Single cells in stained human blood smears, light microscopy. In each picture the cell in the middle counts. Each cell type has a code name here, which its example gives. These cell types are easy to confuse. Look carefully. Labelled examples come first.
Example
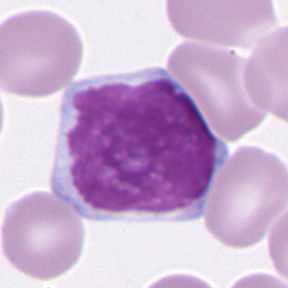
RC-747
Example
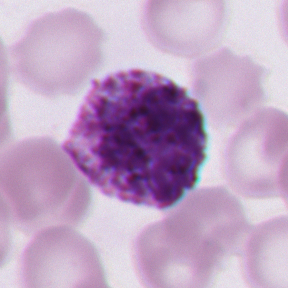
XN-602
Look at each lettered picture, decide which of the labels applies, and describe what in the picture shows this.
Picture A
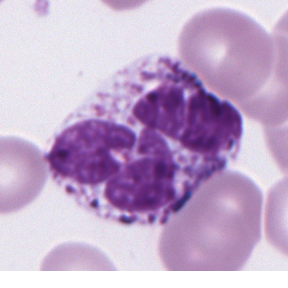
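Label: XN-602. Coarse dark purple granules are scattered through the cytoplasm.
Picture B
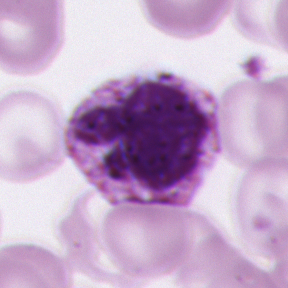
Label: XN-602. The nucleus has two lobes, a smaller one on the left and a larger one on the right.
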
